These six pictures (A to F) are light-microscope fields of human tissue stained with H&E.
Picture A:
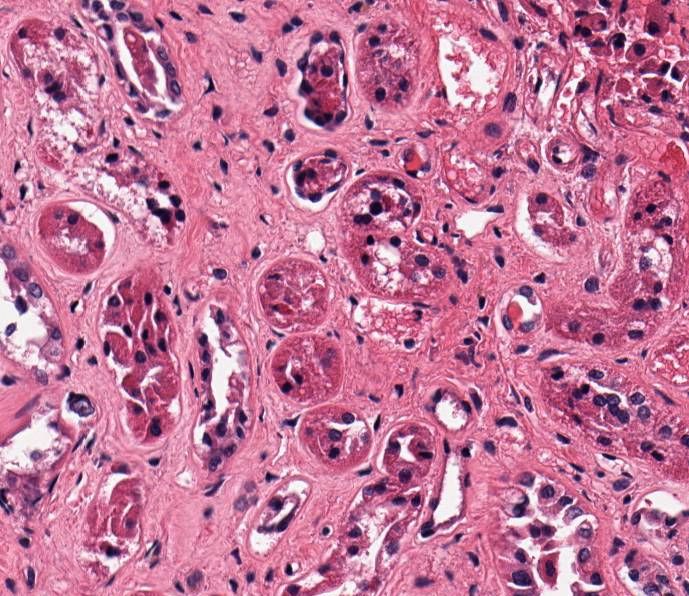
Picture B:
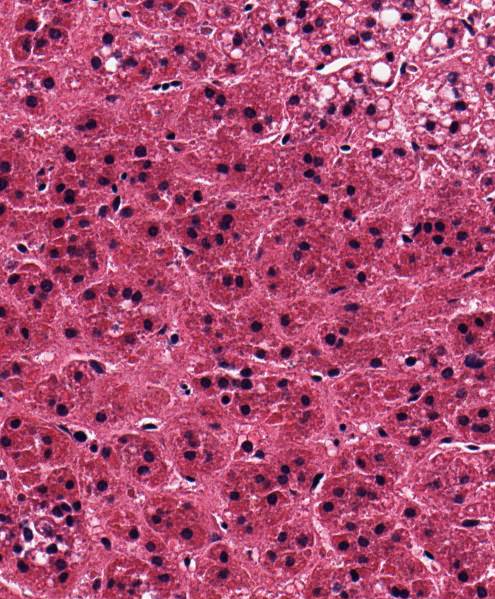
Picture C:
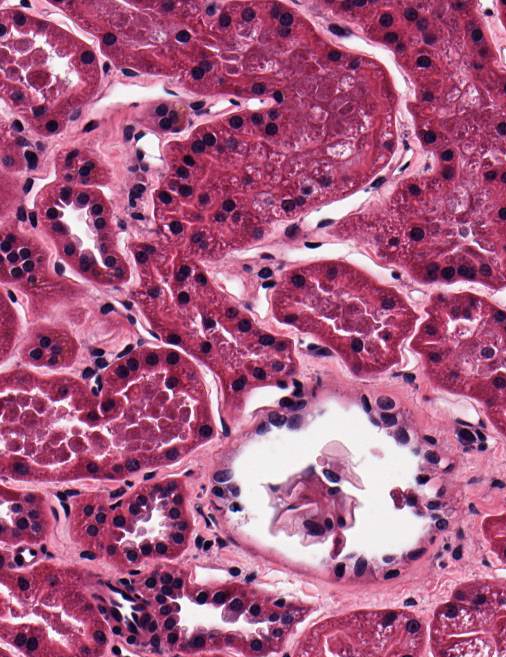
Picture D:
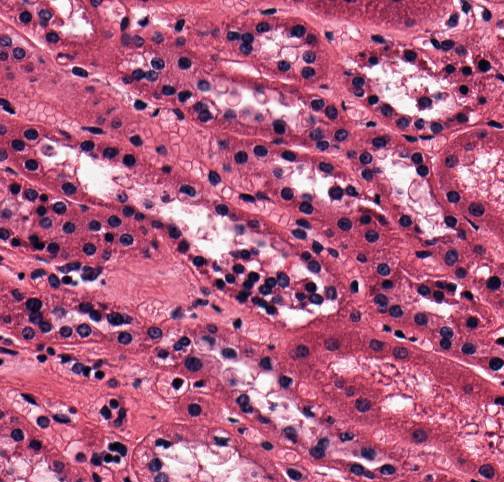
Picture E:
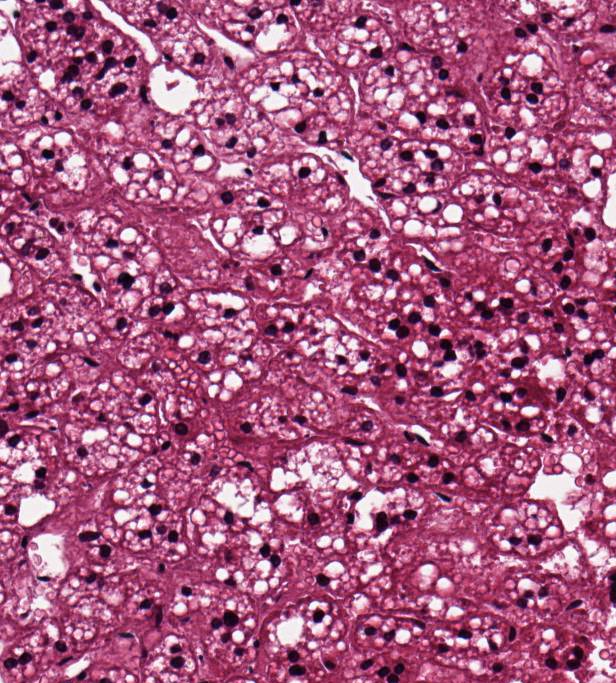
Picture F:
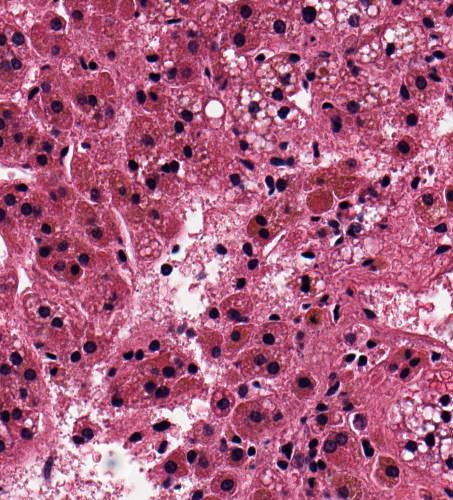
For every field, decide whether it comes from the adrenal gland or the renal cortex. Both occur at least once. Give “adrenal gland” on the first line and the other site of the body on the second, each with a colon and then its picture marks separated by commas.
adrenal gland: B, E, F
renal cortex: A, C, D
